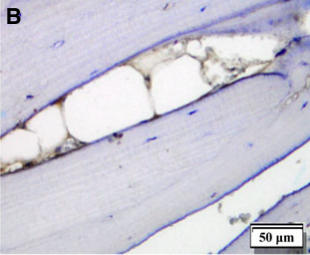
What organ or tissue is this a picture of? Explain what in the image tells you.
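Bone. Broad pale purple bands of dense matrix with a few scattered small nuclei. Between the bands lie large empty round fat cells of marrow.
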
